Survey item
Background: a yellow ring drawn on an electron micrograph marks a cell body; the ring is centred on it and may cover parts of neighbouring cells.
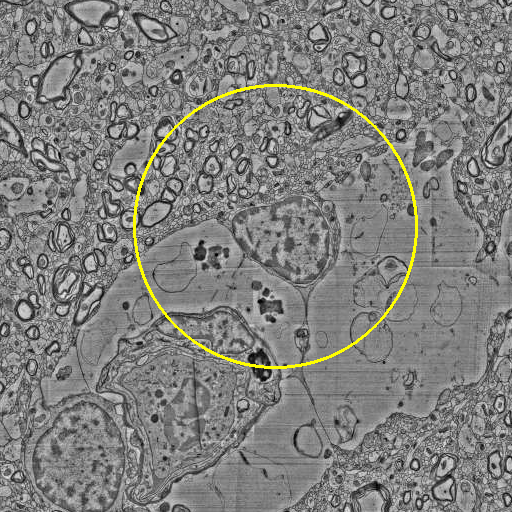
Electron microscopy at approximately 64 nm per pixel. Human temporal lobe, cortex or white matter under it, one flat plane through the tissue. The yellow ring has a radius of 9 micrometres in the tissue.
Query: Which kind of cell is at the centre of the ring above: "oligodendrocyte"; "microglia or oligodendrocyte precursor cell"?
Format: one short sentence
The cell in the middle of the ring is a microglial cell or oligodendrocyte precursor cell.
